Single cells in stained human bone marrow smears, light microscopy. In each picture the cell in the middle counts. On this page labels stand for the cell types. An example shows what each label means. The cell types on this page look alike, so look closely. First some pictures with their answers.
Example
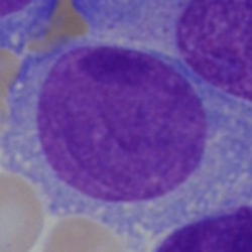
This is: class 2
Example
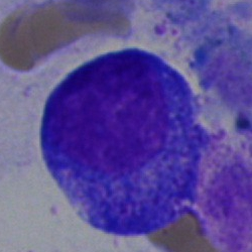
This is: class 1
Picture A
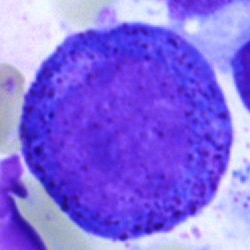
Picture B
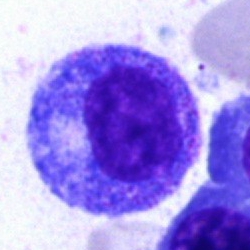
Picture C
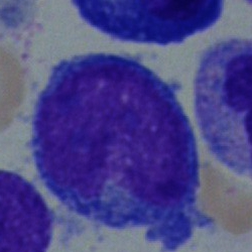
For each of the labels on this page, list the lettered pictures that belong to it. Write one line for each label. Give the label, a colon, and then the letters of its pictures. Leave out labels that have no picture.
class 2: C
class 1: A, B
